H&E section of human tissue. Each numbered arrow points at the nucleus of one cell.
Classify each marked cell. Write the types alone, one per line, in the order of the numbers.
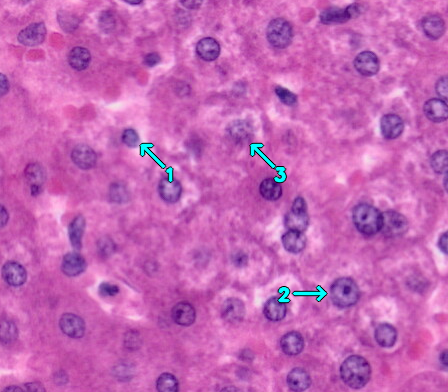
lymphocyte
hepatocyte
hepatocyte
